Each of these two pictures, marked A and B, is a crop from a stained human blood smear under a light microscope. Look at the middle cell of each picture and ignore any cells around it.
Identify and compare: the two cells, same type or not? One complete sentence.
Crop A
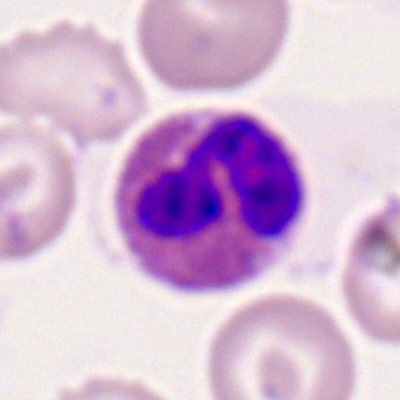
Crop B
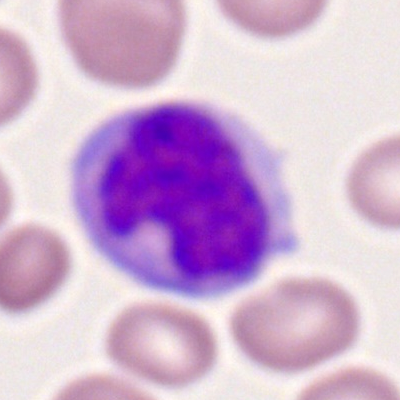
No, crop A presents an eosinophil, whereas crop B presents a monocyte.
